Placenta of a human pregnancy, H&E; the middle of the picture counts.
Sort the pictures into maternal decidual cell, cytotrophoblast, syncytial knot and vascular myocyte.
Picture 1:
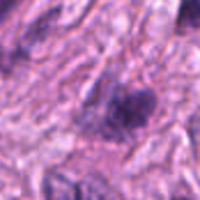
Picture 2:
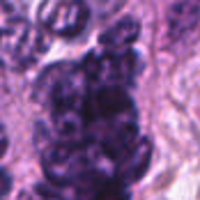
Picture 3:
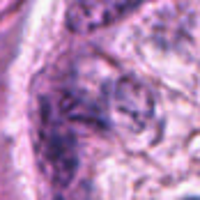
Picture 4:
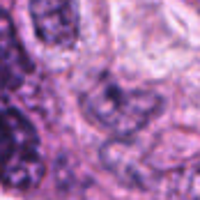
Vascular myocytes: 1
Syncytial knots: 2
Cytotrophoblasts: 3, 4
